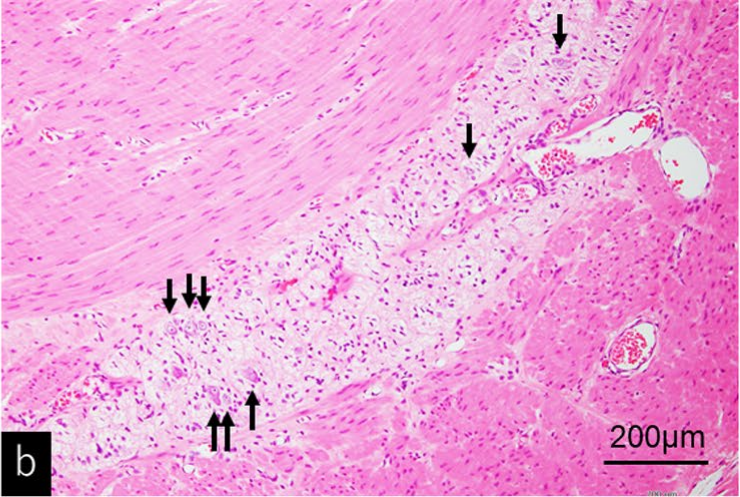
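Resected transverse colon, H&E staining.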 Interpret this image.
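Between layers of pink smooth muscle with elongated nuclei runs a wide, pale, loosely textured band crowded with small nuclei and fine fibres. Scattered in this band are large rounded cells with abundant cytoplasm, some lying close together. Small blood vessels run along its edge. This is a giant plexus of ganglion cells, glial tissue and nerve fibres filling the intermuscular zone.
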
